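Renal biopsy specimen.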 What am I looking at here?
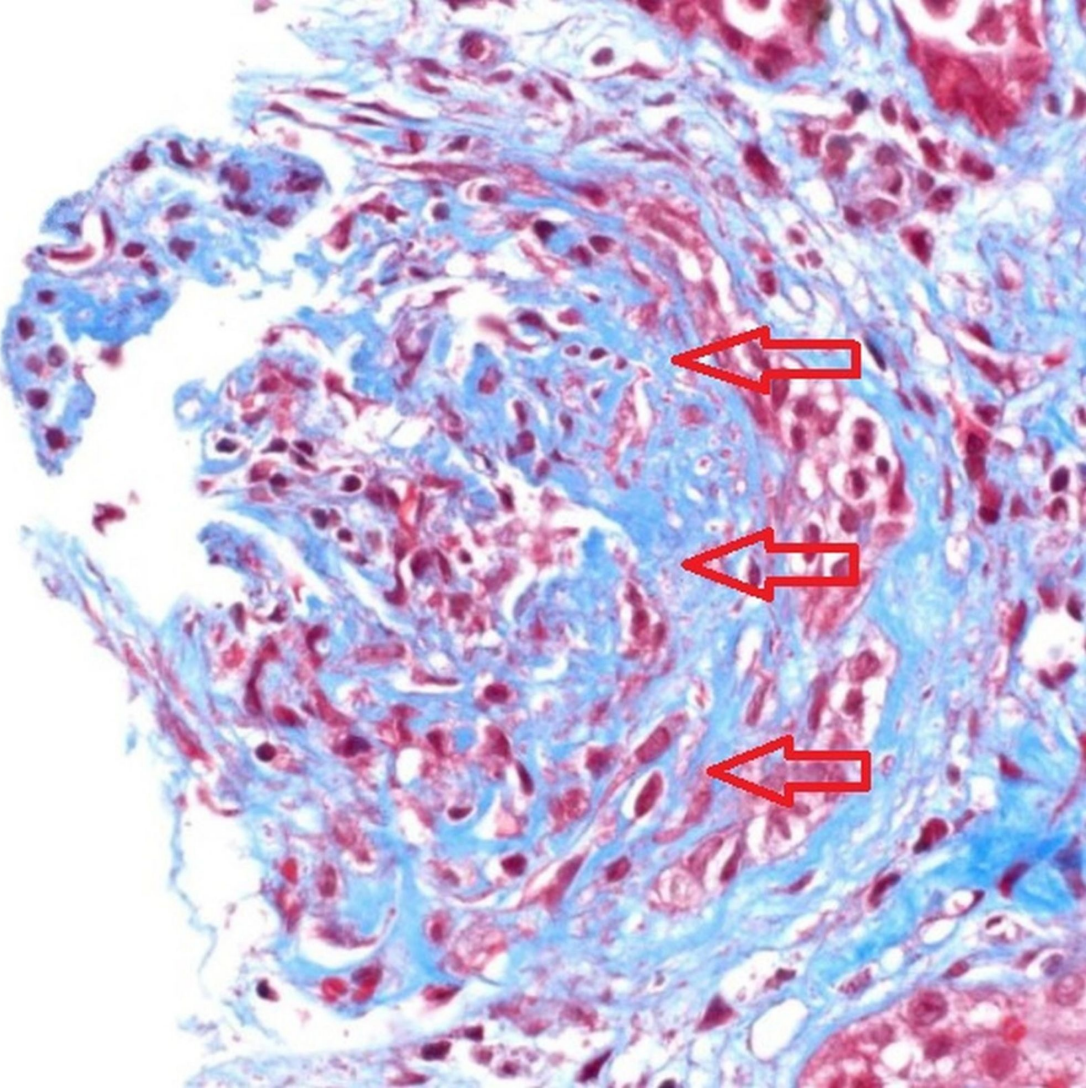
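This is kidney tissue with a damaged glomerulus at the centre. Its tuft is disorganised, with crowded dark nuclei and pale spaces. A curved band of packed, elongated cells embedded in blue fibrous material hugs it on the right like a crescent, and tubules with red cytoplasm and round nuclei lie outside the band, separated by blue-staining interstitial fibres.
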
